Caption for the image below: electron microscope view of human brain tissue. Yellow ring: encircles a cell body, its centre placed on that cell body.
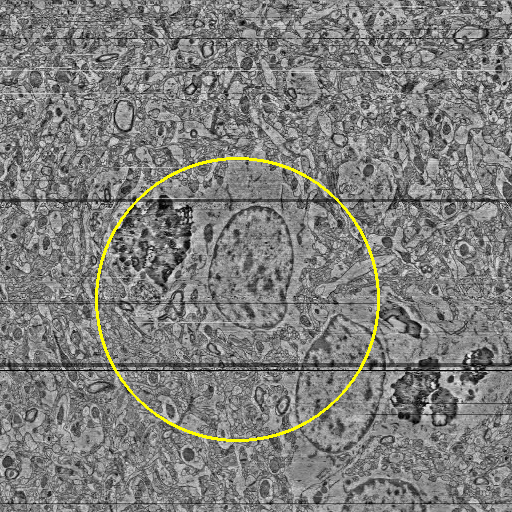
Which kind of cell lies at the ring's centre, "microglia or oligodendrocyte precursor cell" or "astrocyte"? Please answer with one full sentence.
The picture shows an astrocyte at the centre of the yellow ring.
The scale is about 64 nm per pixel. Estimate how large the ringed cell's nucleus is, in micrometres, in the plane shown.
In this plane the nucleus spans approximately 8 by 6 micrometers.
